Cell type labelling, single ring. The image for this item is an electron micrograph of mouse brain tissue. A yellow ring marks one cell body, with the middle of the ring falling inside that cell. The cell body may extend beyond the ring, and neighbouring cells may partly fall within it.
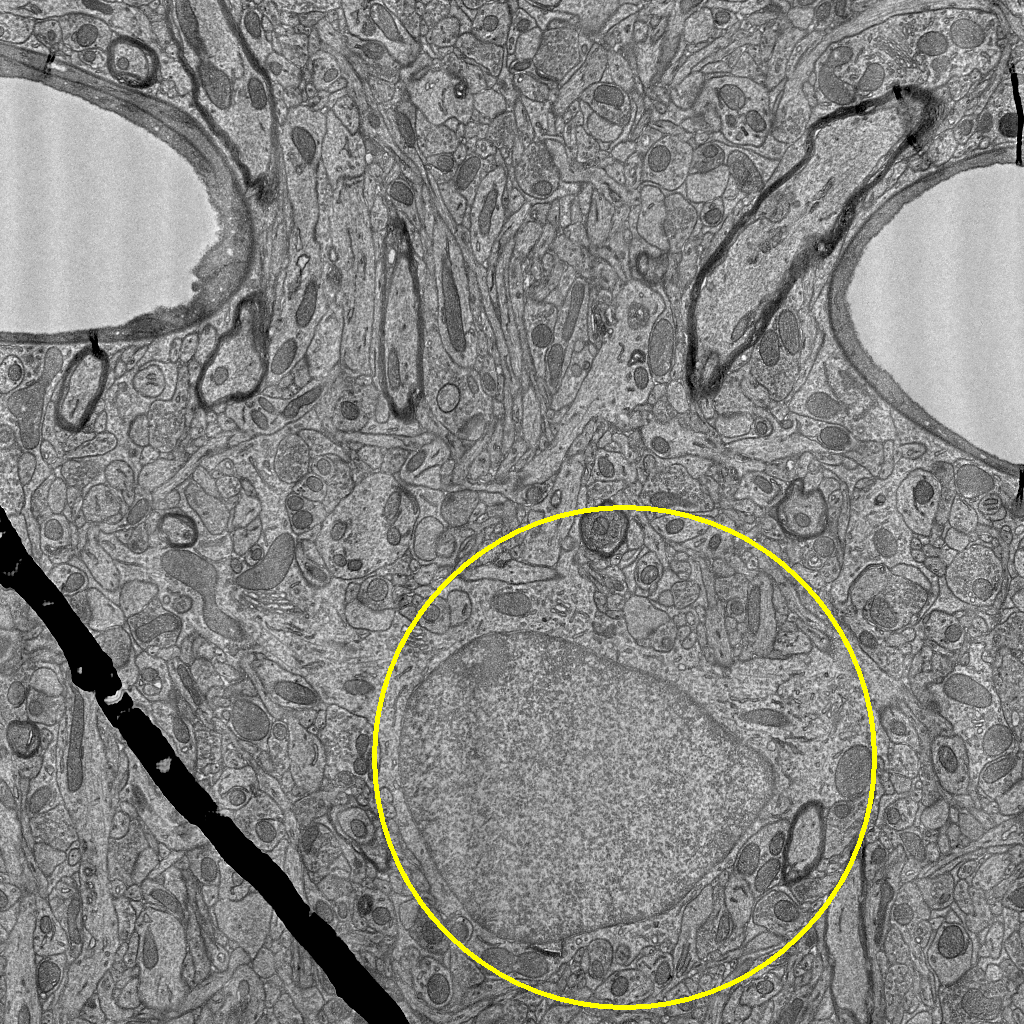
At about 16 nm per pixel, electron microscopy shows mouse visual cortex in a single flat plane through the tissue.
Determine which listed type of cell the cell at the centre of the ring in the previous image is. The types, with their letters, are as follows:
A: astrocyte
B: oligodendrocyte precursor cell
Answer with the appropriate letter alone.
A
